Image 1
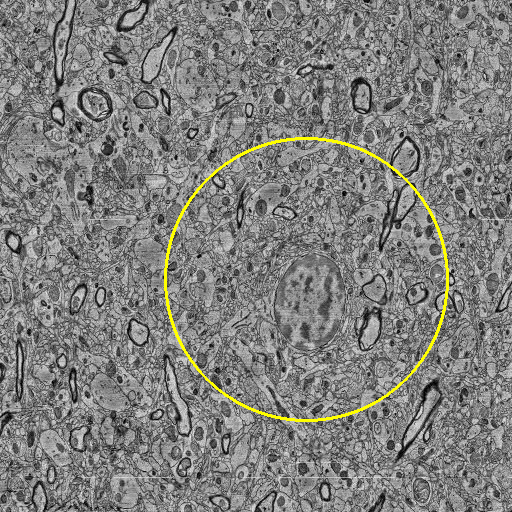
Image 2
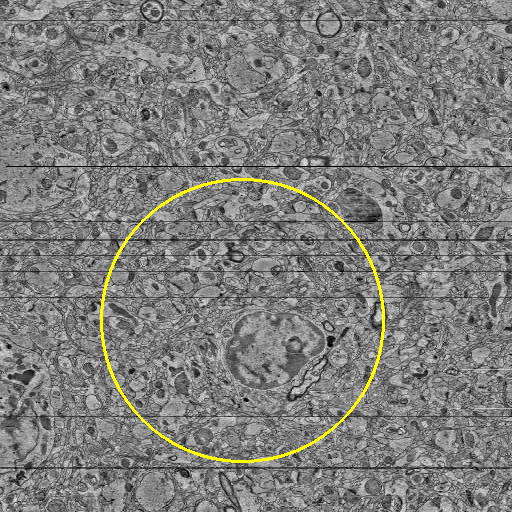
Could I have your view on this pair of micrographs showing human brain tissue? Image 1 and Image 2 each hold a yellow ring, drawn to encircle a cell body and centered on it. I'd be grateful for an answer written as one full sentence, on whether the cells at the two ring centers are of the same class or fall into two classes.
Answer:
The cells at the centers of the two rings are of the same class.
